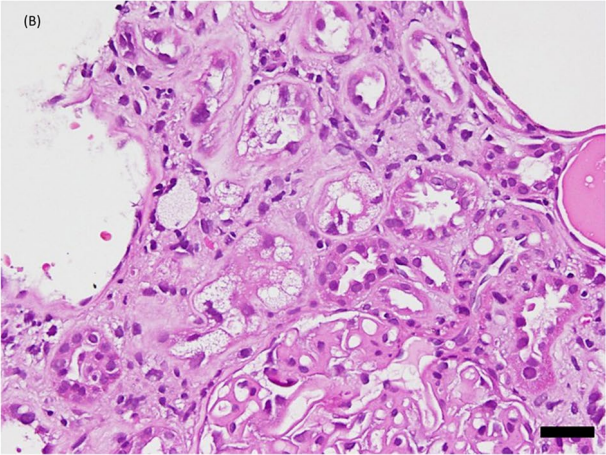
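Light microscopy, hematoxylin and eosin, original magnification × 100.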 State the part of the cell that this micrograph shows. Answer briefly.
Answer: optically clear intracytoplasmic vacuoles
